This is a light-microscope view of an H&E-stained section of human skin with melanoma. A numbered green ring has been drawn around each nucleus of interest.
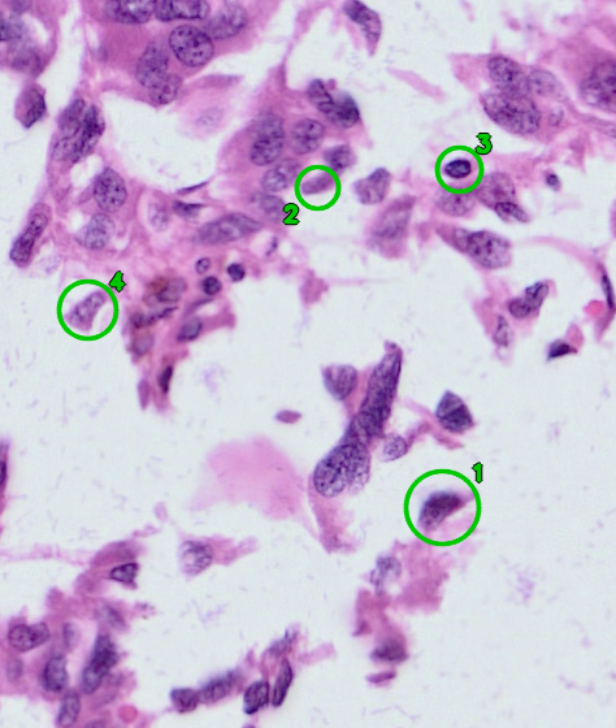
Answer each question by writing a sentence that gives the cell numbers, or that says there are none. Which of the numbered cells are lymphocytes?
Of those with numbers, only cell 3 is a lymphocyte.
